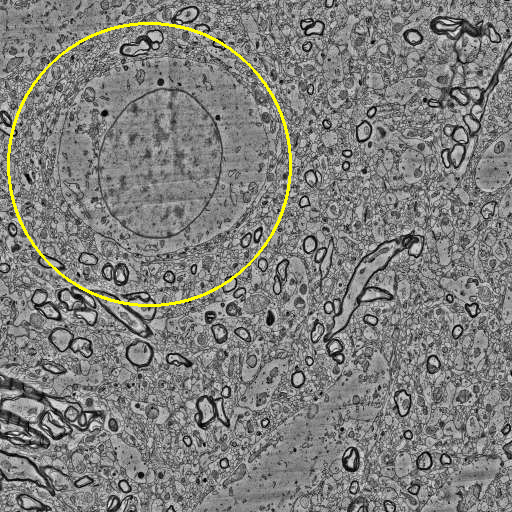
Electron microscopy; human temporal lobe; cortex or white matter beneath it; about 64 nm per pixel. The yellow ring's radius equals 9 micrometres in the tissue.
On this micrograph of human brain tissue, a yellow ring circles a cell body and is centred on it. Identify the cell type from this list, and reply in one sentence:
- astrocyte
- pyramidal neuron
The cell at the centre is a pyramidal neuron.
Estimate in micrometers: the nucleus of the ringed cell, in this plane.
About 10 micrometres by about 8 micrometres in this plane.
